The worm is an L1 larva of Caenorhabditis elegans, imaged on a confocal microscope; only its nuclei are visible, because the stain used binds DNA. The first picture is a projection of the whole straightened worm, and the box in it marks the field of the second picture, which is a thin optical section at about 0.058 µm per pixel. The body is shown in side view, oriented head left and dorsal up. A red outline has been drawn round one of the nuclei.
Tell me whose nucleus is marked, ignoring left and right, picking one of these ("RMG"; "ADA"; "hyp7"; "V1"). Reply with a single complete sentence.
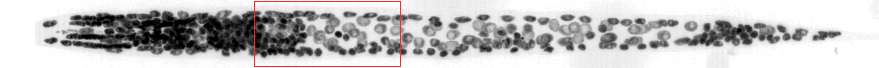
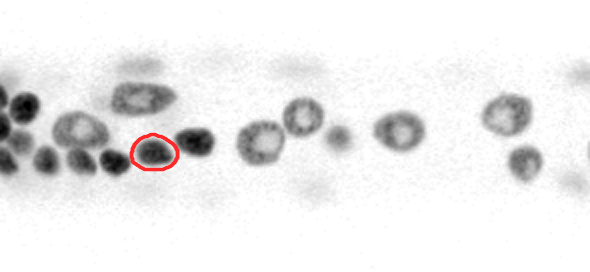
The marked nucleus is that of RMG, a neuron.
